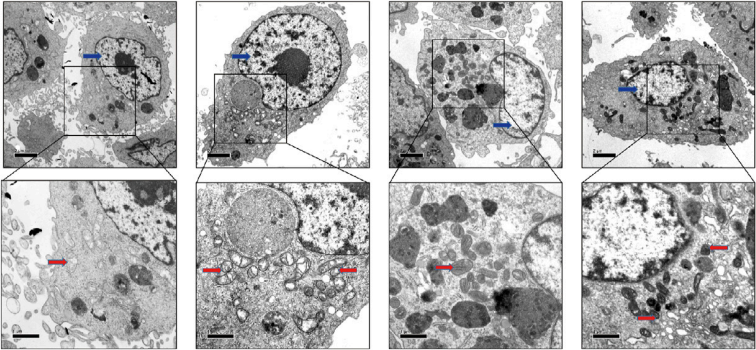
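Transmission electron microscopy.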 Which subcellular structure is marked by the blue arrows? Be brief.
nucleus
